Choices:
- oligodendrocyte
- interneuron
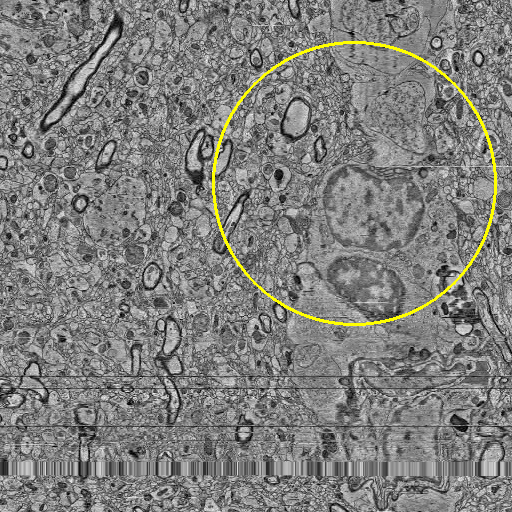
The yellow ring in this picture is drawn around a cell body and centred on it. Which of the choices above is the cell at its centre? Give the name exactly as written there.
oligodendrocyte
